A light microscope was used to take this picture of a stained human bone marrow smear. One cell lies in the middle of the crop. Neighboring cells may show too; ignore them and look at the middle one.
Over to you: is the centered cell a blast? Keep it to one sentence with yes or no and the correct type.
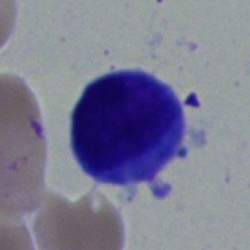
No, it isn't a blast; what sits in the middle is a lymphocyte.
